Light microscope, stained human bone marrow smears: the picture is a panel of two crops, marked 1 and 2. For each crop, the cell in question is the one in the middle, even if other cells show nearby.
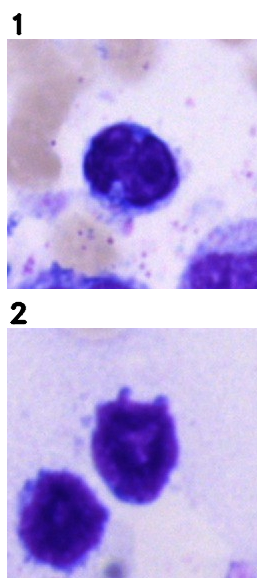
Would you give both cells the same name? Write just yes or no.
yes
